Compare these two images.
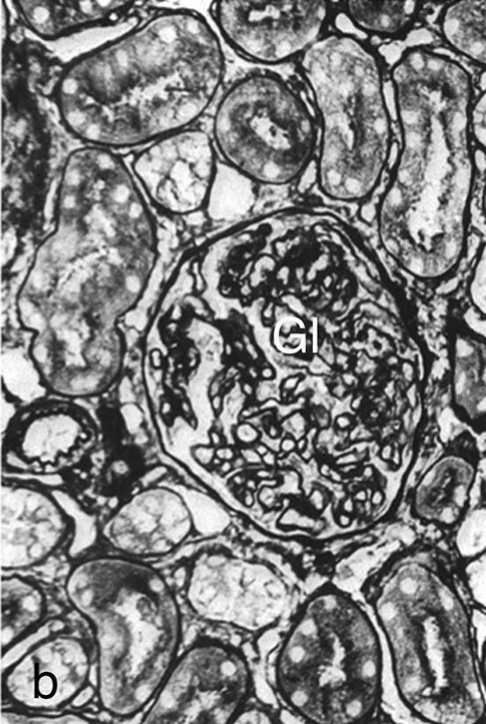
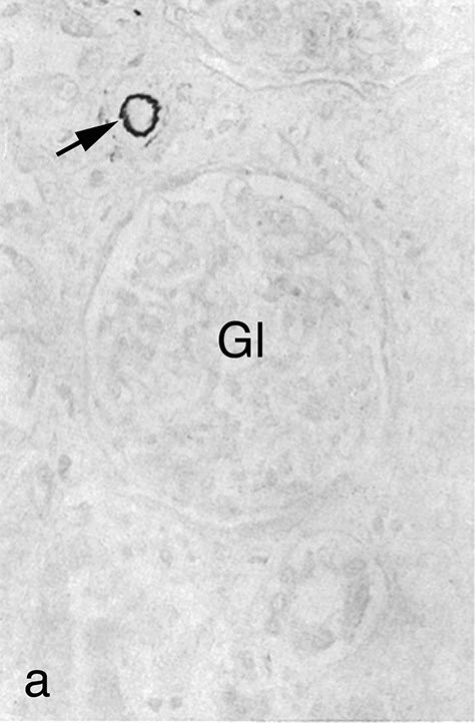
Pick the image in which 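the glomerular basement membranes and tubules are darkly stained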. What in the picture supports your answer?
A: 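The first image. First image: the glomerular tuft, its capsule and the surrounding tubule outlines are strongly dark-stained. Second image: the glomerulus and tubules are pale and barely visible; only a small vessel ring is dark.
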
